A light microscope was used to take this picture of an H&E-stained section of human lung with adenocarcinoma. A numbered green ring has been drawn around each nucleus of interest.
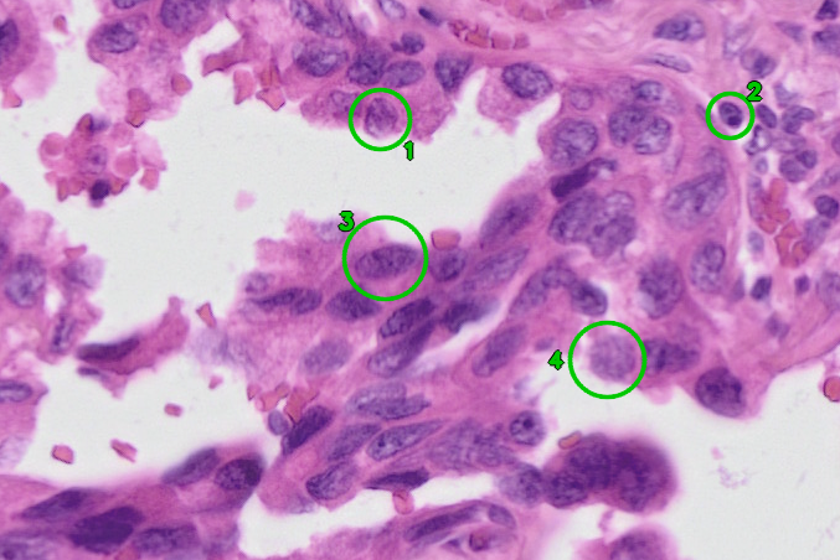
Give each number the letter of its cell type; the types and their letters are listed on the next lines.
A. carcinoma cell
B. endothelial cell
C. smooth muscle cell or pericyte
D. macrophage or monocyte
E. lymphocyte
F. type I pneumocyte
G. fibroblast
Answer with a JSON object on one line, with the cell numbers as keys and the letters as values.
{"1": "A", "2": "E", "3": "A", "4": "A"}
